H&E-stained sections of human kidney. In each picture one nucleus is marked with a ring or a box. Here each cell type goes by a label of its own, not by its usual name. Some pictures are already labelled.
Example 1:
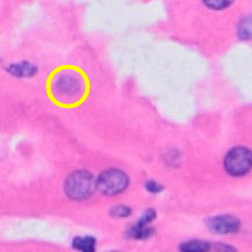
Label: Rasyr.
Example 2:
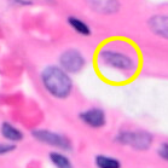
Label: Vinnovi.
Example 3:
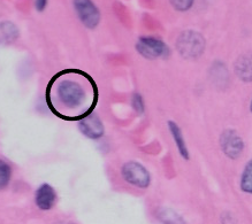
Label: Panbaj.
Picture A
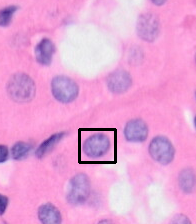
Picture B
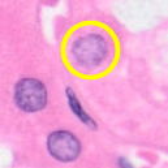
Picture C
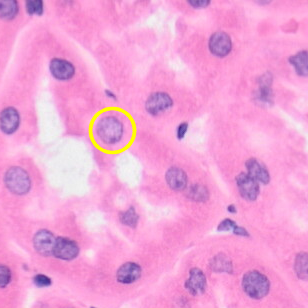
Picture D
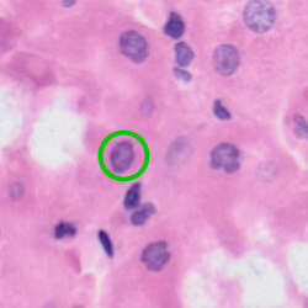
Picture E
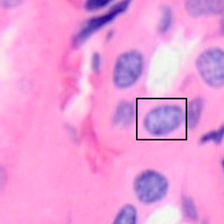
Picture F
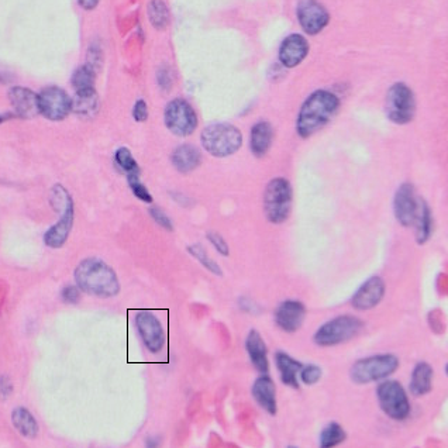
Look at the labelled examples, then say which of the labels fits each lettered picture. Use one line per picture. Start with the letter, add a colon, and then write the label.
A: Panbaj.
B: Rasyr.
C: Rasyr.
D: Rasyr.
E: Vinnovi.
F: Vinnovi.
